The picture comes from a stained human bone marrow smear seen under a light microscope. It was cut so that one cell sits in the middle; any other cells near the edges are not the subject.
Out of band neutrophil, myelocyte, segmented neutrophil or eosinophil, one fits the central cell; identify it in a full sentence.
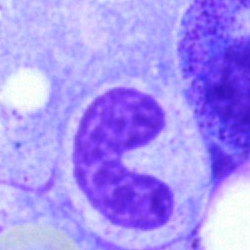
Among the cells in view, the one in the middle is a band neutrophil.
